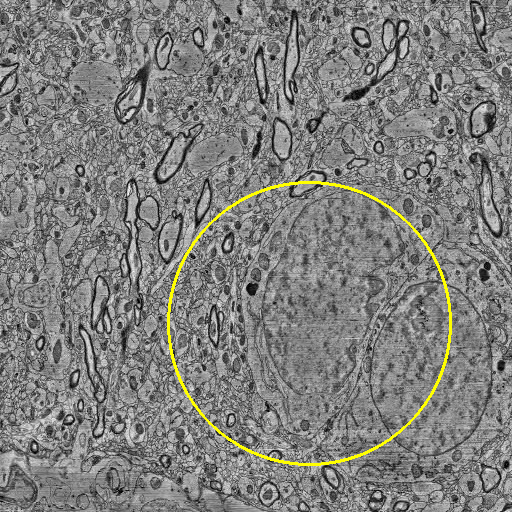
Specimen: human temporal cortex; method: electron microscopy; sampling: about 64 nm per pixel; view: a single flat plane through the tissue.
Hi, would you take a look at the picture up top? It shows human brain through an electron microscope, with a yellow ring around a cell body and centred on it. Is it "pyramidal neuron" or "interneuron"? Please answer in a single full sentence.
The best fit for the cell in the middle of the ring is an interneuron, I reckon.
